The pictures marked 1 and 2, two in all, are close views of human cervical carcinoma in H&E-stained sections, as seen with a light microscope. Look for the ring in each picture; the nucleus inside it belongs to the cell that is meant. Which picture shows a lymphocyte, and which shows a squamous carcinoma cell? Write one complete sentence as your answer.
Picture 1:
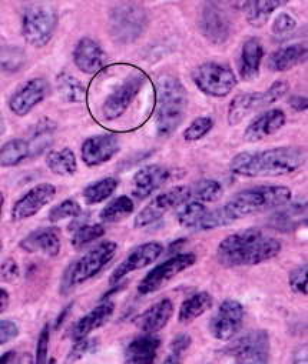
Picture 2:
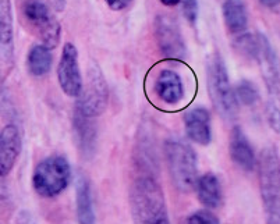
Picture 2 shows a lymphocyte, while picture 1 shows a squamous carcinoma cell.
